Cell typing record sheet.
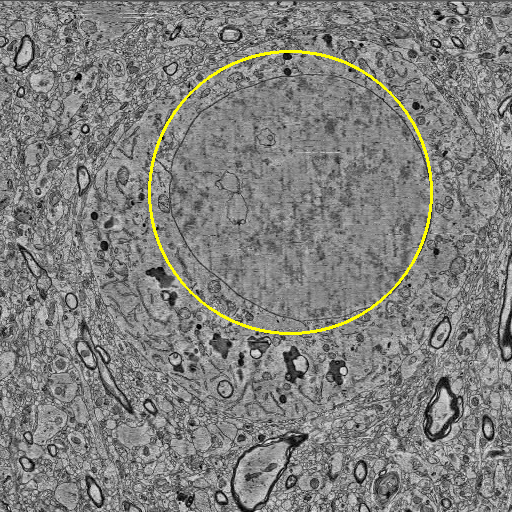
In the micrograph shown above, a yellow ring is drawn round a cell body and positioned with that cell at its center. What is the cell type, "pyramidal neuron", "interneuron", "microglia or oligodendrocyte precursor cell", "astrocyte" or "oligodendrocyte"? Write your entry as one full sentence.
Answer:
The cell body at the center of the ring belongs to a pyramidal neuron.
